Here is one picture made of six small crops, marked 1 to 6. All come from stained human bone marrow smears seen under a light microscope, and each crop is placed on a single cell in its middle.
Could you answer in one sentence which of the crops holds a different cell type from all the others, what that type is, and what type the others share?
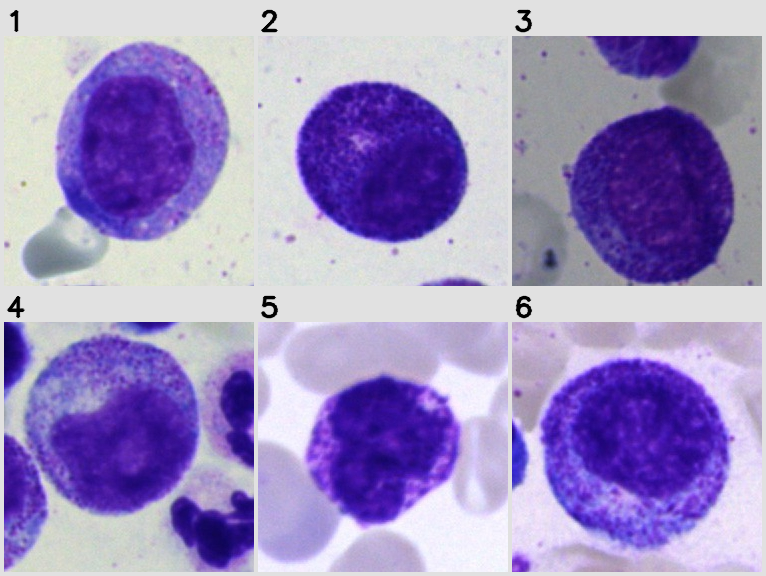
Apart from crop 5, which shows a basophil, every crop shows promyelocytes.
